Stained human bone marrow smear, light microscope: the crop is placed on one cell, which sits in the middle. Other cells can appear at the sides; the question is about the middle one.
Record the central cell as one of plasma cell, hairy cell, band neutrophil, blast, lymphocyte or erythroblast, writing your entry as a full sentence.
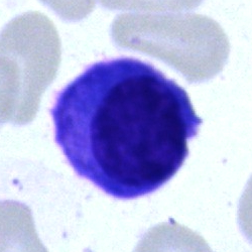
What the crop centres on is a plasma cell.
